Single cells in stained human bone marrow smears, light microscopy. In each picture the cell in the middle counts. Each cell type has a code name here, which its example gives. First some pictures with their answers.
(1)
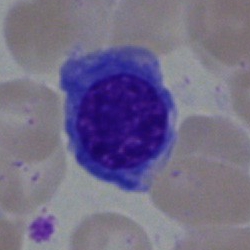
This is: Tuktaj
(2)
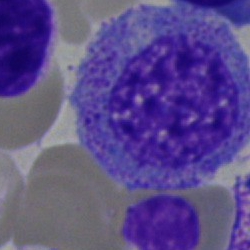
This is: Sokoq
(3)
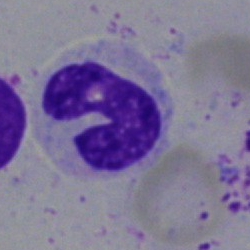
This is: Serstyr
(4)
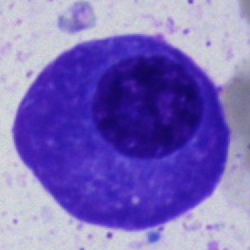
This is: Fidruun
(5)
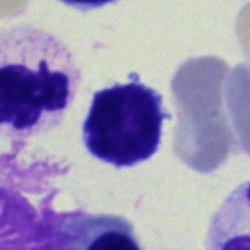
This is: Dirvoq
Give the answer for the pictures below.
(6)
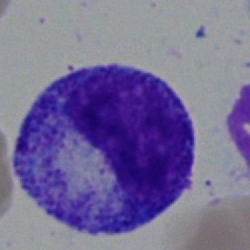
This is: Sokoq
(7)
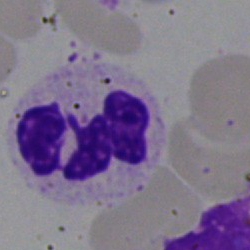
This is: Serstyr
